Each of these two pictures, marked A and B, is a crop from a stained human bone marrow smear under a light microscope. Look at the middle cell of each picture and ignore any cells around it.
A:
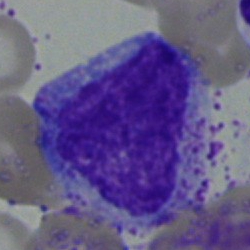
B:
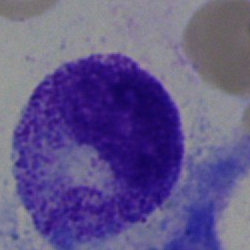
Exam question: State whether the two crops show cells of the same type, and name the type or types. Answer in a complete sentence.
Yes, both crops contain myelocytes at their centres.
